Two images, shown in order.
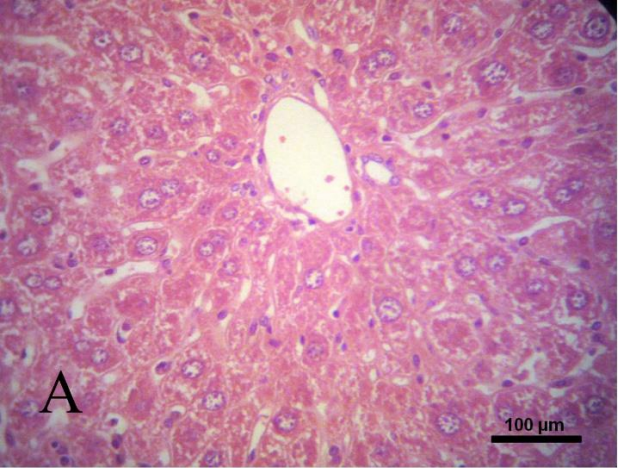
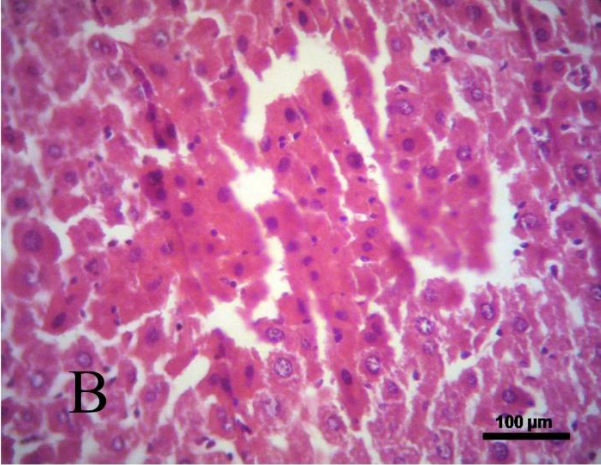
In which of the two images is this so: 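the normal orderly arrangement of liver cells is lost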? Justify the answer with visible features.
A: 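The second image. Second image: cell cords are broken up by wide irregular clefts and the cells are crowded and irregular. First image: cells lie in regular cords radiating around a central vessel with narrow even spaces.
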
